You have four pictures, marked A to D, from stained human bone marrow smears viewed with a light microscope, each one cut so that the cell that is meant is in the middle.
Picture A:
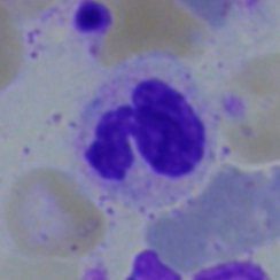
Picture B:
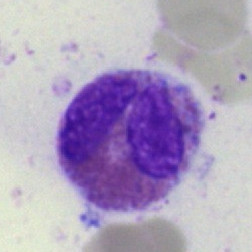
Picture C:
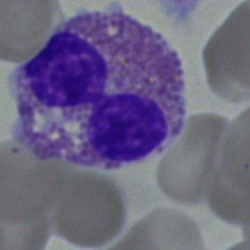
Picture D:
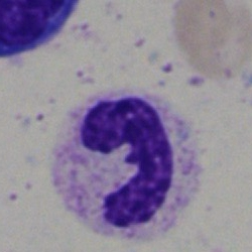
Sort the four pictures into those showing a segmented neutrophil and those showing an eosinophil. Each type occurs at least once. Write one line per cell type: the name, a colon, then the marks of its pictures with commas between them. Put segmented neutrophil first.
segmented neutrophil: A, D
eosinophil: B, C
